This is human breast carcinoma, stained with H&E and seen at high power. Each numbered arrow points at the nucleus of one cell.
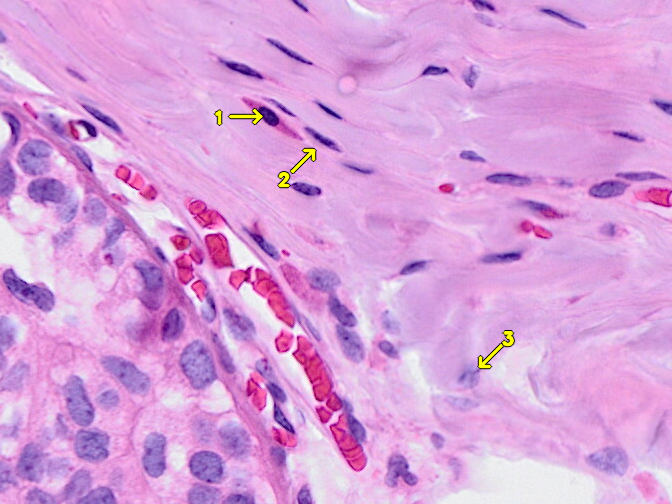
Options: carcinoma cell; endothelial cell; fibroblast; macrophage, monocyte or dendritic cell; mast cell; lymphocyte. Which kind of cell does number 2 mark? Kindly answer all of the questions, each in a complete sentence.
The cell referenced by the number 2 is a fibroblast in this field.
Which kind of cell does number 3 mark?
The cell pointed out as number 3 is a fibroblast.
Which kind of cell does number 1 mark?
To a mast cell belongs the nucleus marked 1.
